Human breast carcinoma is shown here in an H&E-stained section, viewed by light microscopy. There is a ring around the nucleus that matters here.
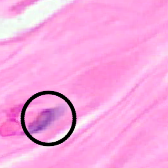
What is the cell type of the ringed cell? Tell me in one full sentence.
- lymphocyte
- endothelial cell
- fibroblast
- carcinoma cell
Microscopically, the ringed cell is categorized as an endothelial cell.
